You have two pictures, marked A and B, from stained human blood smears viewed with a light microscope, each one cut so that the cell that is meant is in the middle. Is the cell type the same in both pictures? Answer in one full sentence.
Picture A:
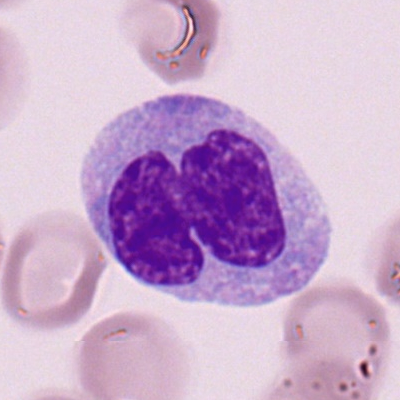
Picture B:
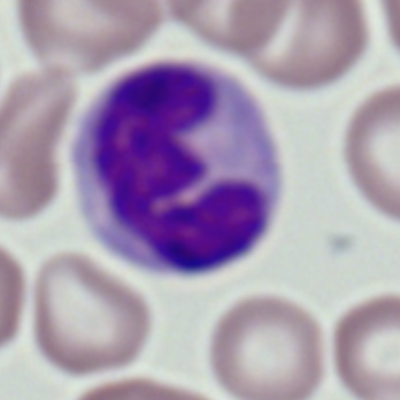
Yes, both cells are monocytes.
